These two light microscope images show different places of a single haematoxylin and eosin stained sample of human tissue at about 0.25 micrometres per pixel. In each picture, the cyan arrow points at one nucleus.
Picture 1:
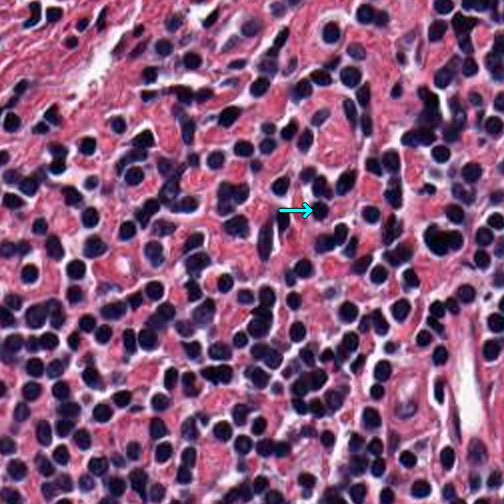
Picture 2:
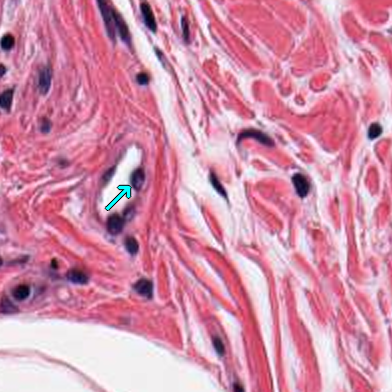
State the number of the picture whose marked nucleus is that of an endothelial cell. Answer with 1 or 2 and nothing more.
2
